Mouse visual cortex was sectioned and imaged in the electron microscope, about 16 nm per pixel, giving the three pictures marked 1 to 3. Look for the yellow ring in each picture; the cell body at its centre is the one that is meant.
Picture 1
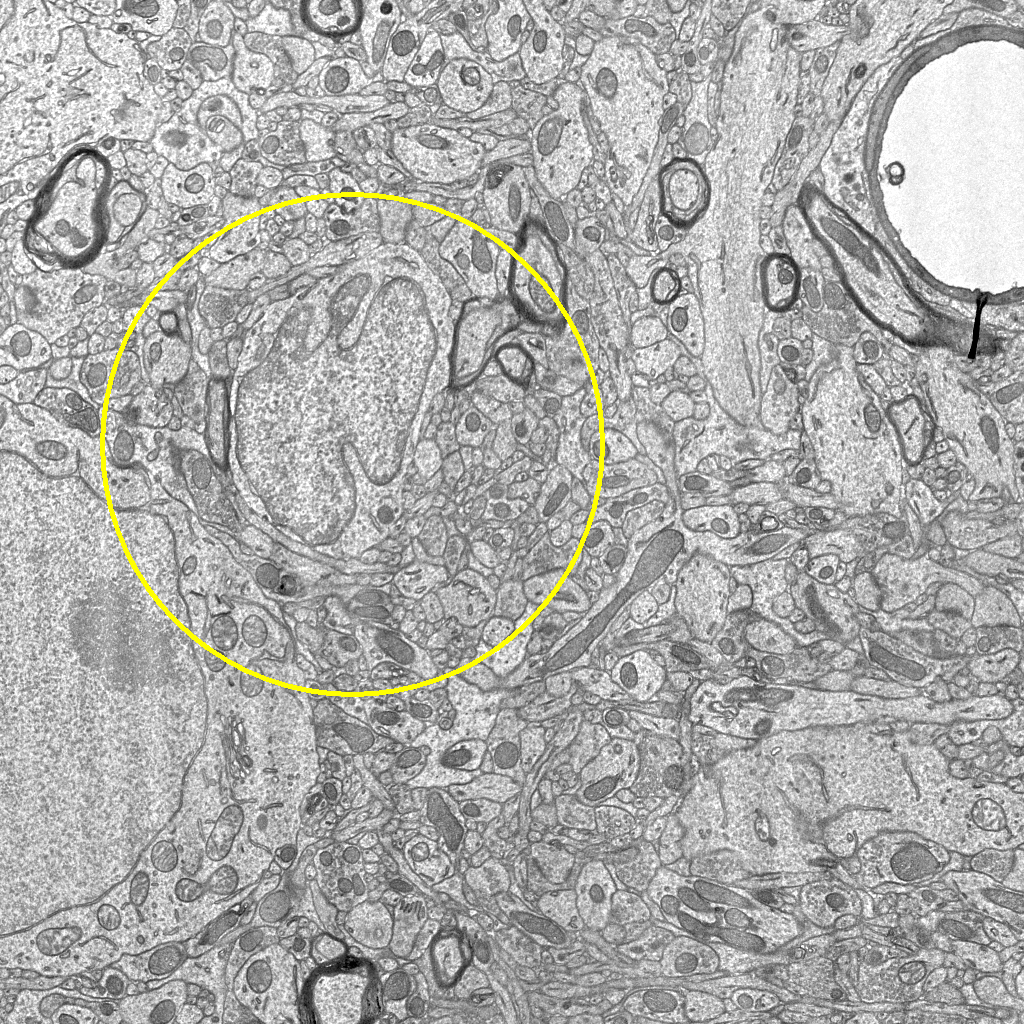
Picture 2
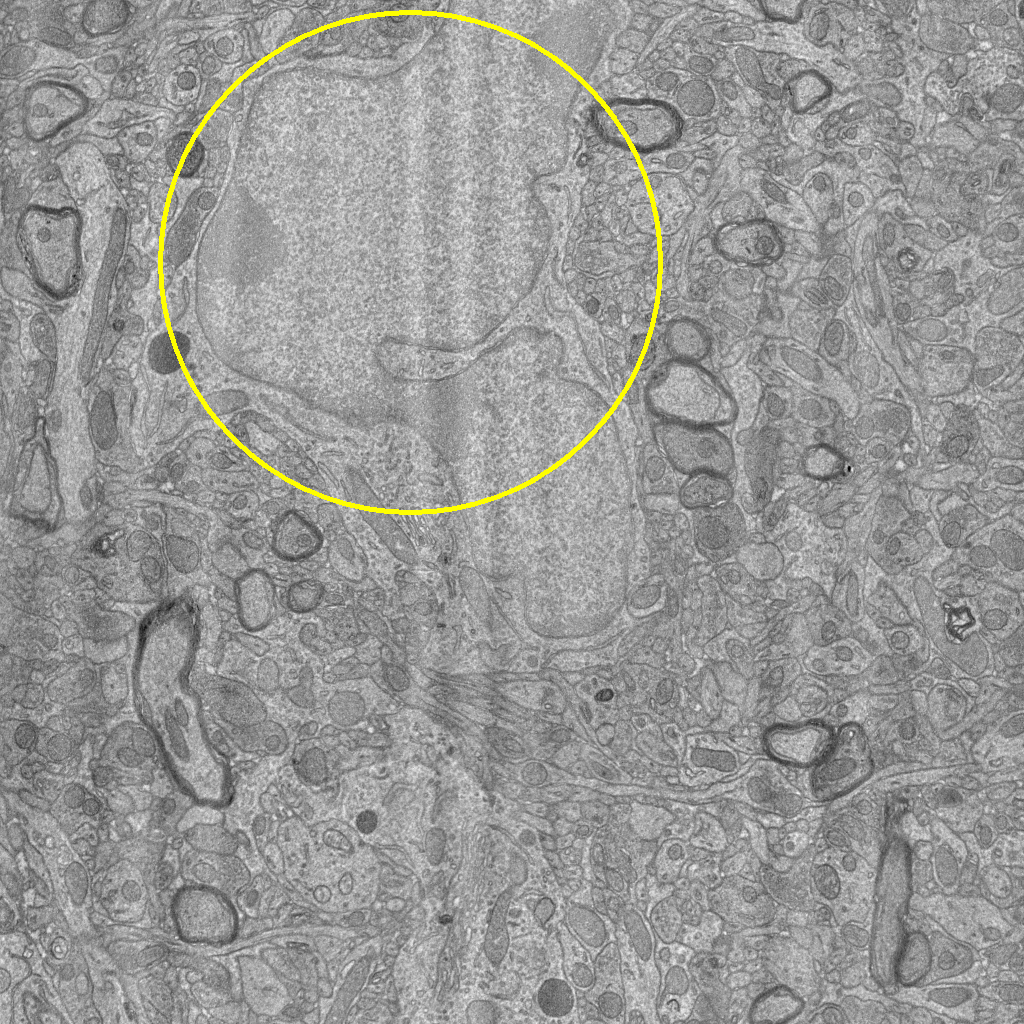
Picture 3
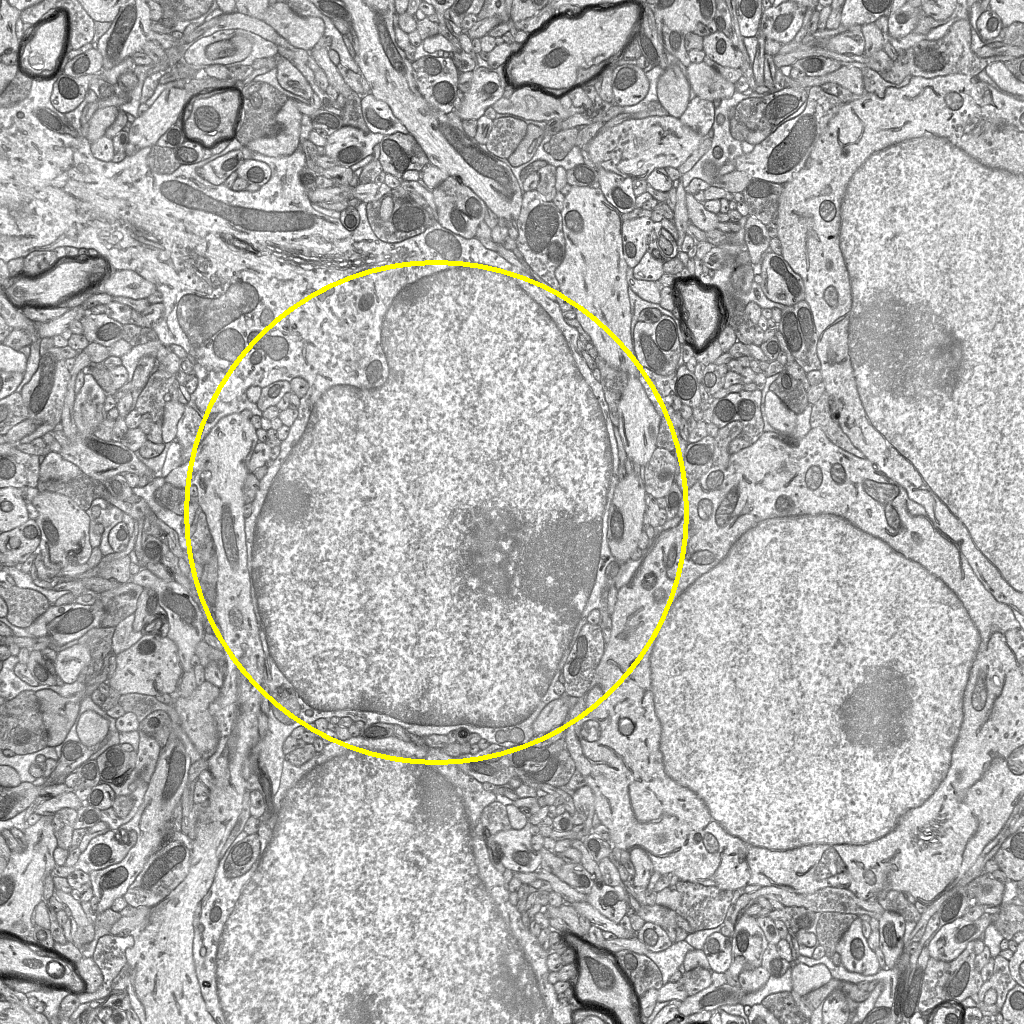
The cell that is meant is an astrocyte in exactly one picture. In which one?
The cell in picture 3 is the astrocyte.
